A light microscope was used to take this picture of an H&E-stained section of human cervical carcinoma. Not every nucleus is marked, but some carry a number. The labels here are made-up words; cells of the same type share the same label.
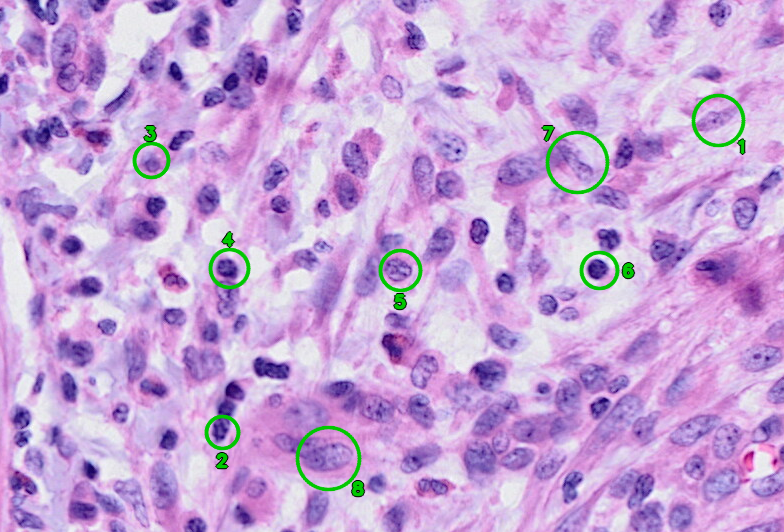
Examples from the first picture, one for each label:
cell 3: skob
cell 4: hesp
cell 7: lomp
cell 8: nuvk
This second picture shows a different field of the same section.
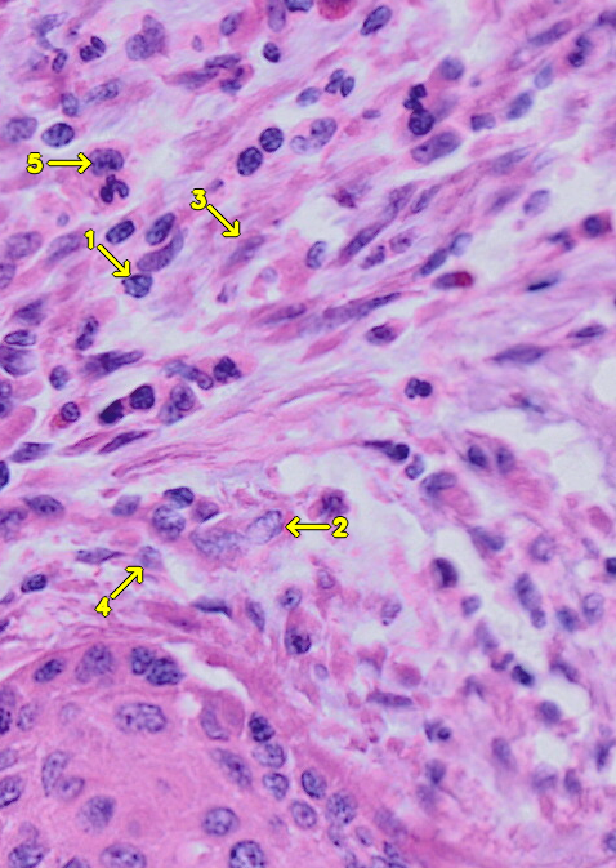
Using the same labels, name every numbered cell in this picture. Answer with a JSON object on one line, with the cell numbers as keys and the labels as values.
{"1": "hesp", "2": "nuvk", "3": "lomp", "4": "lomp", "5": "skob"}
